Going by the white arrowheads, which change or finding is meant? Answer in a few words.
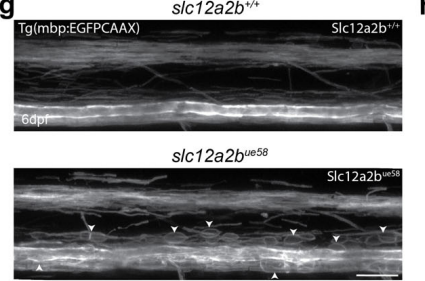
Disrupted myelin morphology.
